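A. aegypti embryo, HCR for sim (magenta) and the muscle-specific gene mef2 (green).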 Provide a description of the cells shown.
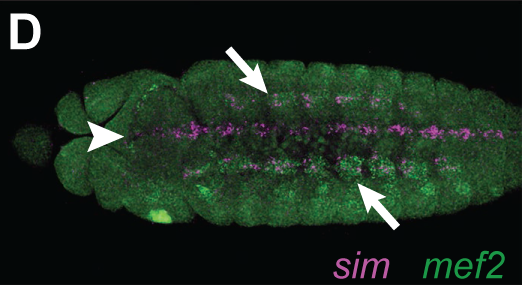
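A line of magenta runs along the centre of the body, the midline, starting behind the head. The head region at the left is largely green without magenta.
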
